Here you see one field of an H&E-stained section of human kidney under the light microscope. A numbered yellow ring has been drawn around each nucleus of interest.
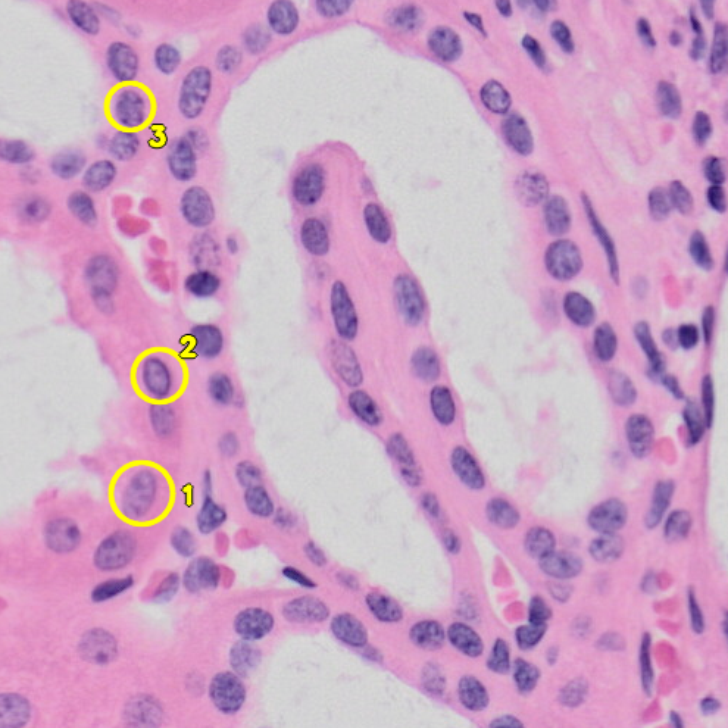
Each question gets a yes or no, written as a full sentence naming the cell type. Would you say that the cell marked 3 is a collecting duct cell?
Yes, the cell marked with number 3 is a collecting duct cell.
